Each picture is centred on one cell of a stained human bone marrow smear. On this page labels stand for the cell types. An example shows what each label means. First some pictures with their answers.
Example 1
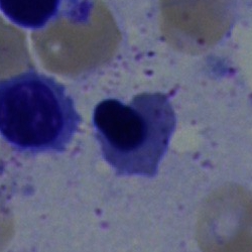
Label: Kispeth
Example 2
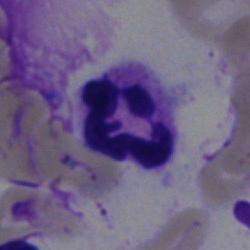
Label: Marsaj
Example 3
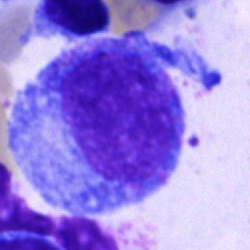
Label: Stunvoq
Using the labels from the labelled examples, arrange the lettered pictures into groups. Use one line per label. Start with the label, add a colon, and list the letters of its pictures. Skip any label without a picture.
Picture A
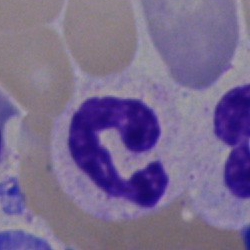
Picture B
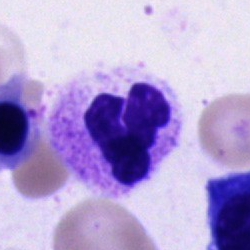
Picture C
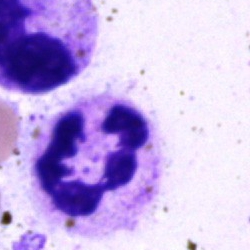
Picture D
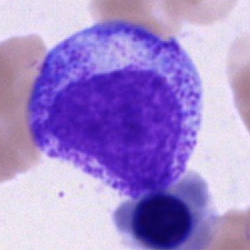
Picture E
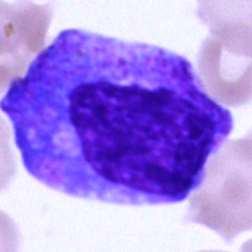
Marsaj: A, B, C
Stunvoq: D, E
